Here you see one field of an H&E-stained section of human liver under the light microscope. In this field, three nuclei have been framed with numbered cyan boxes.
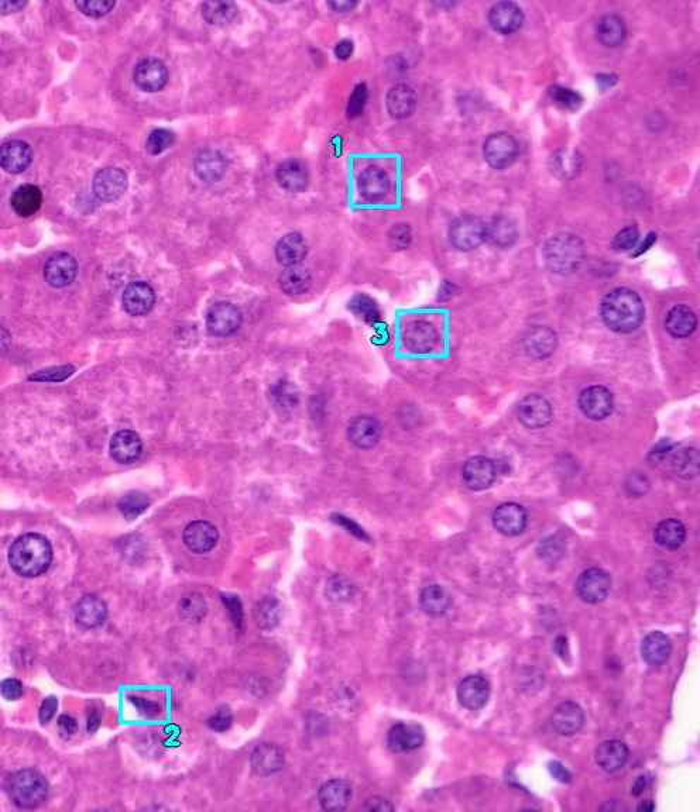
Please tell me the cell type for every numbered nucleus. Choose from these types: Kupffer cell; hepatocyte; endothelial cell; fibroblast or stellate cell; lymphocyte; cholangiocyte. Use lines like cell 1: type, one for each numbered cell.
cell 1: hepatocyte
cell 2: endothelial cell
cell 3: hepatocyte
